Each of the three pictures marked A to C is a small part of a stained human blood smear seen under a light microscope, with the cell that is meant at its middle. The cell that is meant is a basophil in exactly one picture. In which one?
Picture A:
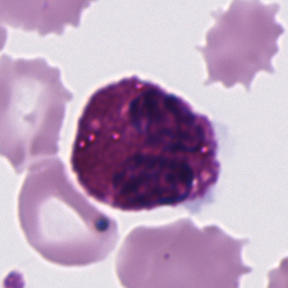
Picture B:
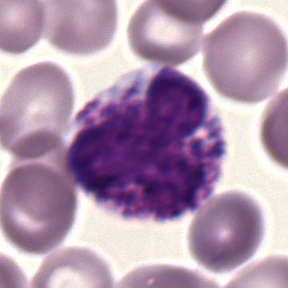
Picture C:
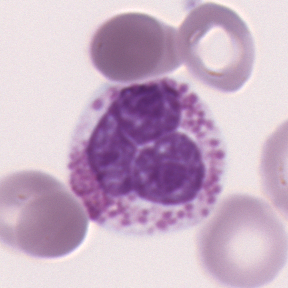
B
